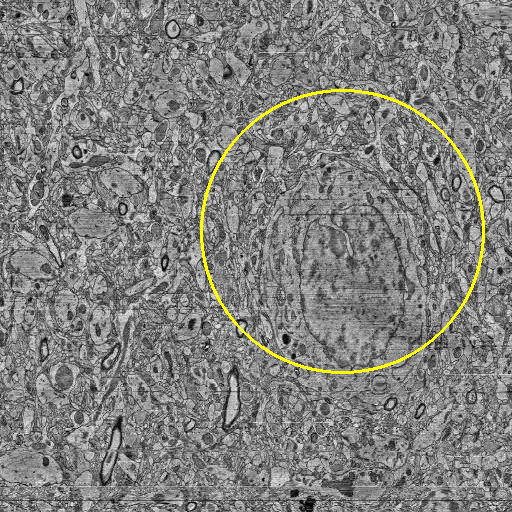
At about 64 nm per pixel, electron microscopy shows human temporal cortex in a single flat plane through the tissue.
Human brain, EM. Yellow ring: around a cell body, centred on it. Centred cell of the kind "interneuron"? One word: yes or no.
yes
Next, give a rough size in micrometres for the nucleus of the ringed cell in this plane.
In this plane the nucleus is clearly longer than it is wide: roughly 11 by 7 micrometres.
